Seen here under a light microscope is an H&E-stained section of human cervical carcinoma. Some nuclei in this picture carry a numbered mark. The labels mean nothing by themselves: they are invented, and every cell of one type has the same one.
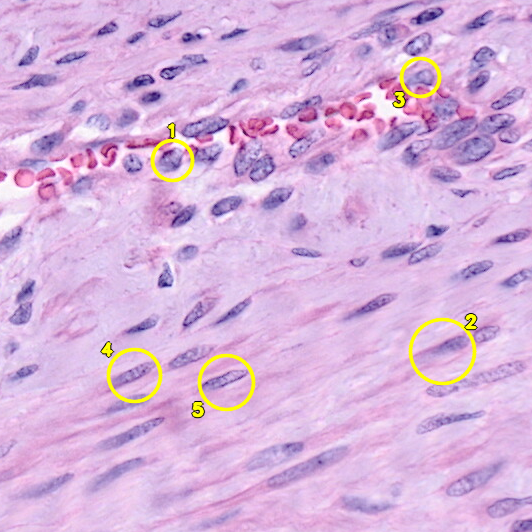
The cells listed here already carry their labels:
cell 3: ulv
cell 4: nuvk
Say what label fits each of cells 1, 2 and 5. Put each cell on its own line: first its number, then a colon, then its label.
1: ulv
2: nuvk
5: nuvk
